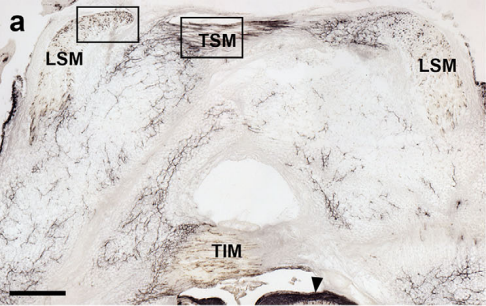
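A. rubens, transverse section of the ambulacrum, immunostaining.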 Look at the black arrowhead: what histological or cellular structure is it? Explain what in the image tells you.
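Radial nerve cord. The arrowhead points to an intensely dark-stained band at the bottom edge of the section. The band lies below the central cavity, beneath the lower muscle block.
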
